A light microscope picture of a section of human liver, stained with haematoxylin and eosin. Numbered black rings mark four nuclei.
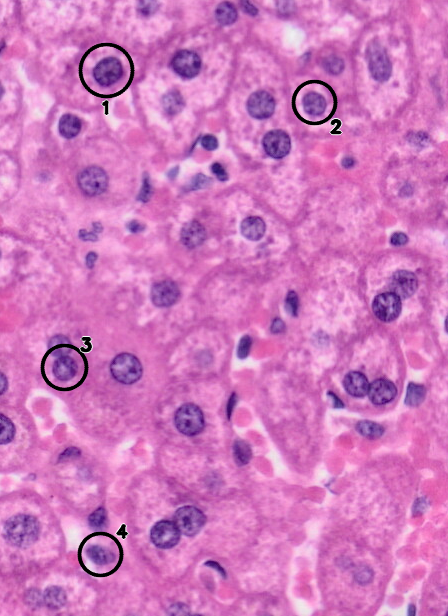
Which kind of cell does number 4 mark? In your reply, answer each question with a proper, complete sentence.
In the tissue shown, cell 4 is a Kupffer cell.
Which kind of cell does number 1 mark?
That cell with number 1 is a hepatocyte.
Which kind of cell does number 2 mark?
The cell referred to as 2 is a hepatocyte.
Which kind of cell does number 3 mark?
To a hepatocyte belongs the nucleus marked 3.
